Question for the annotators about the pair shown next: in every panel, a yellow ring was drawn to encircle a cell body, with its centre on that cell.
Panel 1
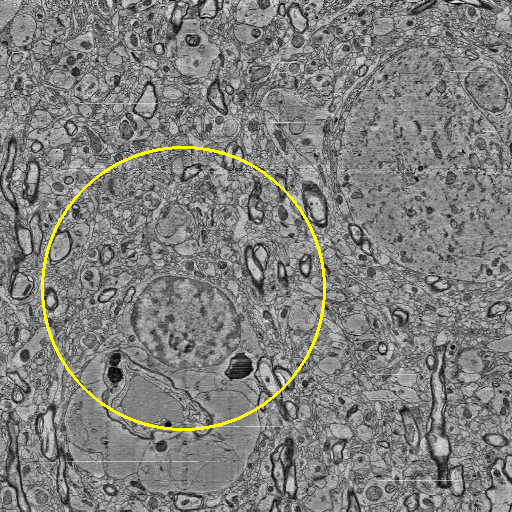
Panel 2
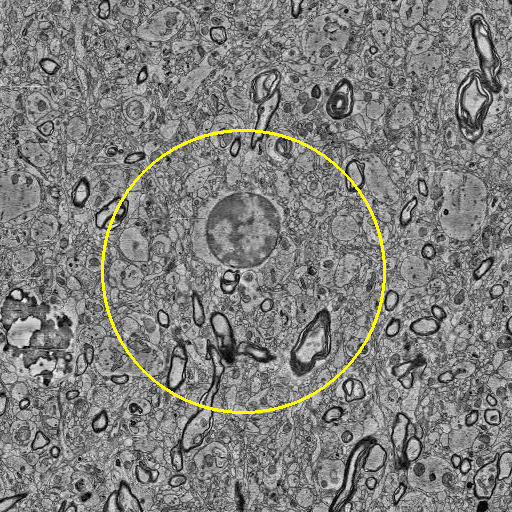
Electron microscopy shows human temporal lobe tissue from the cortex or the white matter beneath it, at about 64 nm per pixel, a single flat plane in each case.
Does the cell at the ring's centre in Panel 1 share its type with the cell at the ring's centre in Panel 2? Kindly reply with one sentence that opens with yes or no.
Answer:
No, in Panels 1 and 2 the cells at the ring centres belong to separate types.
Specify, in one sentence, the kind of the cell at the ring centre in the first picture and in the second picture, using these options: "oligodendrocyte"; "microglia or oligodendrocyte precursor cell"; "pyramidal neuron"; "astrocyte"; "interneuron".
So the first is an oligodendrocyte, the second a microglial cell or oligodendrocyte precursor cell.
